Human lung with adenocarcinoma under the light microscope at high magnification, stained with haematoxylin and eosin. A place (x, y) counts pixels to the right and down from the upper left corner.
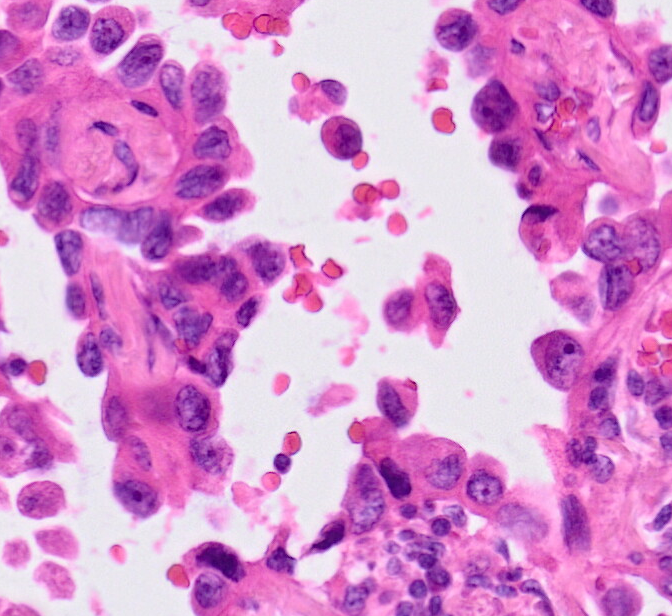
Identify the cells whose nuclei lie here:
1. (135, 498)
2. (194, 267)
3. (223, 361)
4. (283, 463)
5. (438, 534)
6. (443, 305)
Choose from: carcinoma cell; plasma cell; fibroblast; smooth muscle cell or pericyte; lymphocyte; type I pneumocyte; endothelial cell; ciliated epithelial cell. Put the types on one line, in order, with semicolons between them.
carcinoma cell; carcinoma cell; carcinoma cell; lymphocyte; lymphocyte; carcinoma cell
